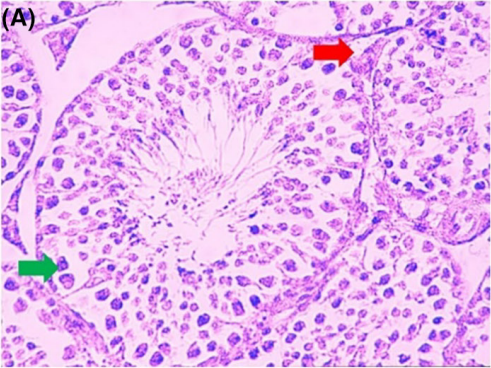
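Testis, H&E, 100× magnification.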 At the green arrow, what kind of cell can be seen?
Basal spermatogenic cell lines.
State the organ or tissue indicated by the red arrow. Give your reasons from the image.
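The arrow points to the space between adjacent round tubules. Small clusters of cells with pink cytoplasm lie in this space outside the tubule wall. The answer: interstitial connective tissue containing Leydig cell.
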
